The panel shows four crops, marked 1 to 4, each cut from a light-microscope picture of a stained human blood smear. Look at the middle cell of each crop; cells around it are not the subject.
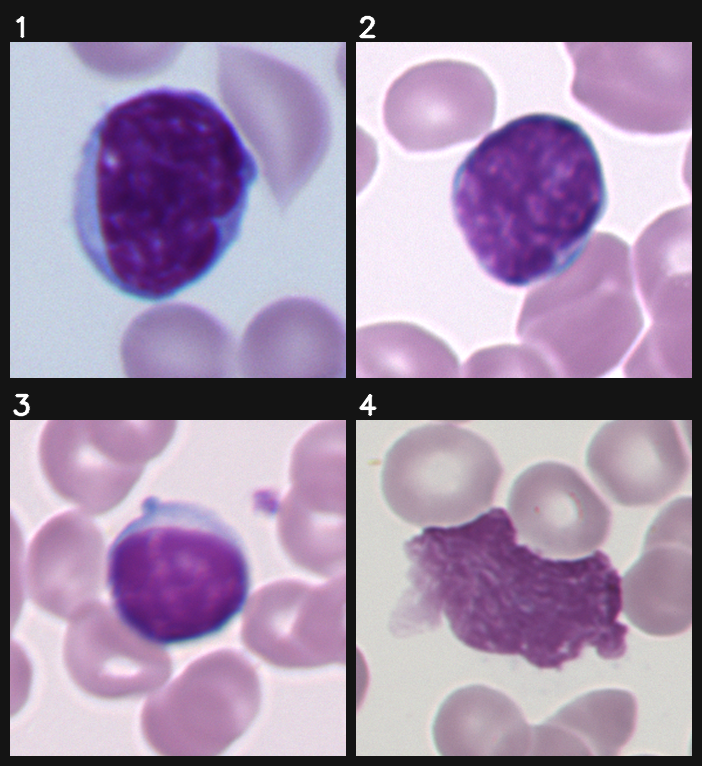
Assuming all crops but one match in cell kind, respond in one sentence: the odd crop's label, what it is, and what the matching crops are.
Whereas the other crops all show typical lymphocytes, crop 4 shows a smudge cell.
